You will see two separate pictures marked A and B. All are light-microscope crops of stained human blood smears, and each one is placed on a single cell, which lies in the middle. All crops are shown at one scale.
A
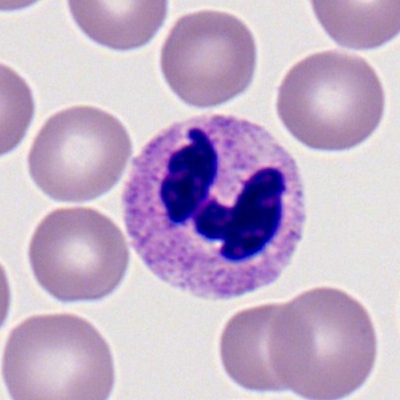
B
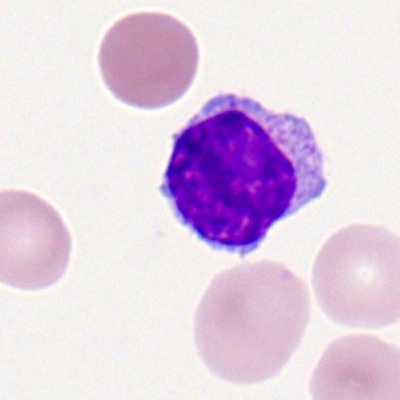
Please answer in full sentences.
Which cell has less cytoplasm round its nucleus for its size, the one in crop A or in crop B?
The nucleus fills more of the cell in crop B than in crop A.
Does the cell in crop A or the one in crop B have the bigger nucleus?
Crop B shows the larger nucleus; it covers about 1.5 times the area of the nucleus in crop A.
